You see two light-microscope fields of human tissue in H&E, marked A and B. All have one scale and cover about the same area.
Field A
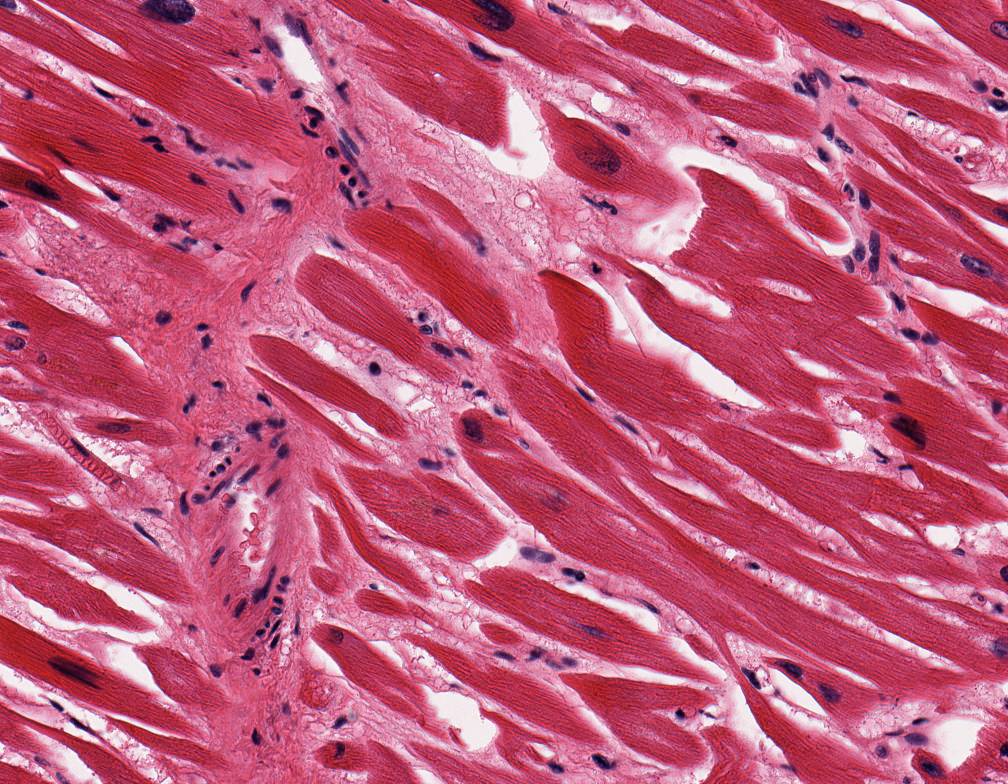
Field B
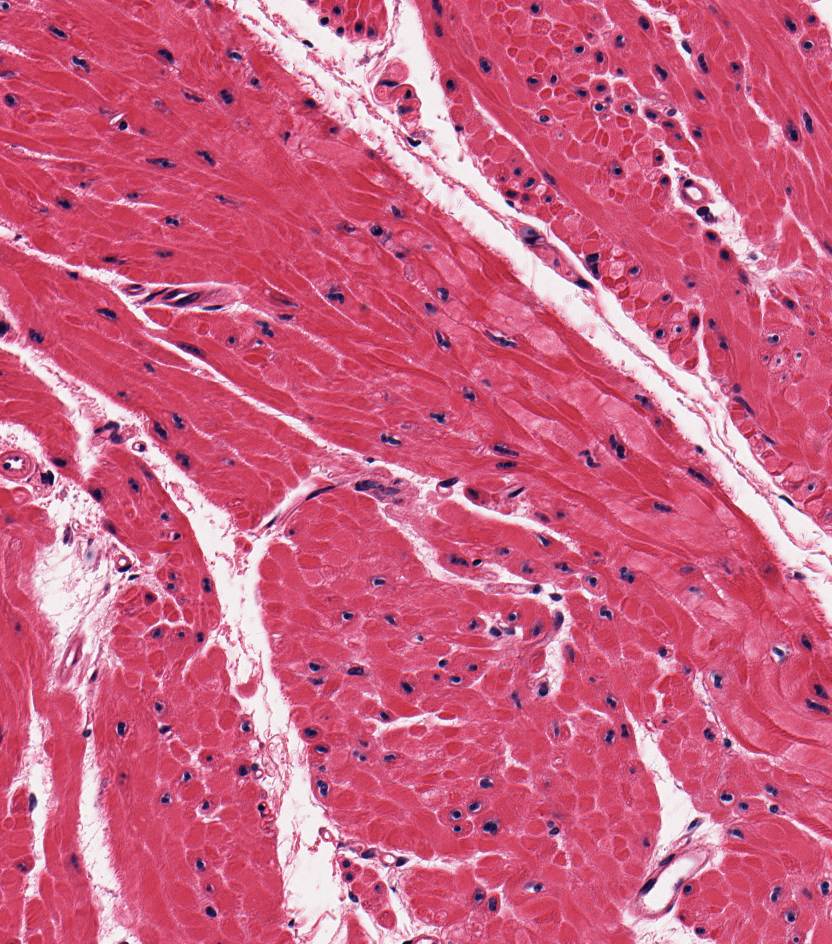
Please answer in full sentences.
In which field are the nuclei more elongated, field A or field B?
It is field A whose nuclei are the more elongated.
